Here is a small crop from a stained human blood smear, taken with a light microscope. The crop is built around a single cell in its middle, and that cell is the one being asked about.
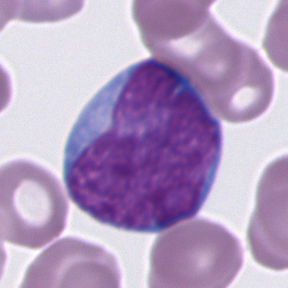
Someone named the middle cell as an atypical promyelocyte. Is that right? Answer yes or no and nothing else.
no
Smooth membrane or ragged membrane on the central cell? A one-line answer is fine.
No projections interrupt the outline; it is smooth all the way round.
